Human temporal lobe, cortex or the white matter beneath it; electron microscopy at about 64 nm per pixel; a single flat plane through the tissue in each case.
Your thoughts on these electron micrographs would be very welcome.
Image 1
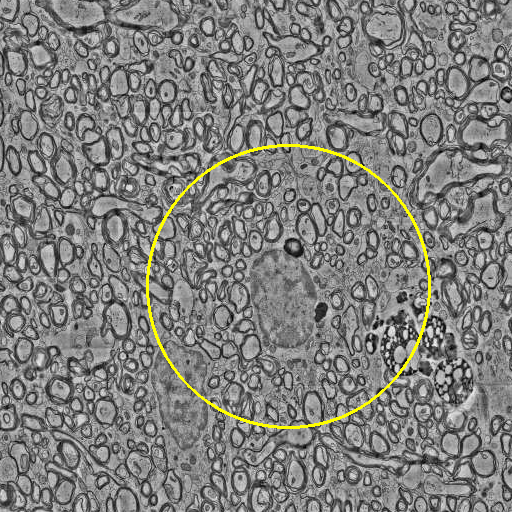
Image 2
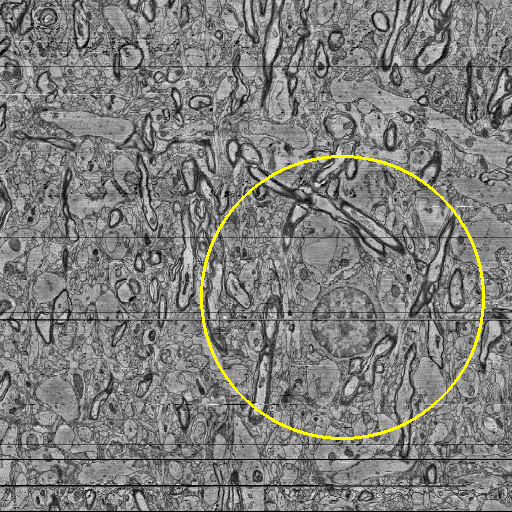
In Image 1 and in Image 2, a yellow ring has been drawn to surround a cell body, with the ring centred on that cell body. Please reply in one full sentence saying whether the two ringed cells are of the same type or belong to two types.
The ringed cells in Image 1 and Image 2 are of the same type.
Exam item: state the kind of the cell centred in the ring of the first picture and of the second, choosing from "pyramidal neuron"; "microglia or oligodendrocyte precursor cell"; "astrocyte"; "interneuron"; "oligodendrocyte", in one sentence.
In both pictures the ring is centred on an oligodendrocyte.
